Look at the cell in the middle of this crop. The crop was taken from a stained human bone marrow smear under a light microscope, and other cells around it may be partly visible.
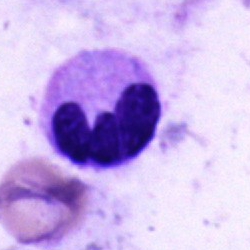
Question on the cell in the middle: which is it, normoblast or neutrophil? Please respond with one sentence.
The middle of this crop holds a neutrophil.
